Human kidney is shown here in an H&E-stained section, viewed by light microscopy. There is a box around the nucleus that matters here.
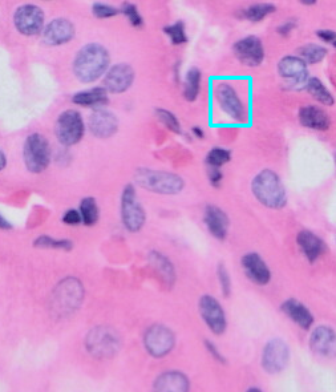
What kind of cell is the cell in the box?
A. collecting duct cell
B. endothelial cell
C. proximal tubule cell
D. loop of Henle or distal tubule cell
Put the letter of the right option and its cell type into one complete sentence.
That the cell in the box is an endothelial cell makes option B the correct choice.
